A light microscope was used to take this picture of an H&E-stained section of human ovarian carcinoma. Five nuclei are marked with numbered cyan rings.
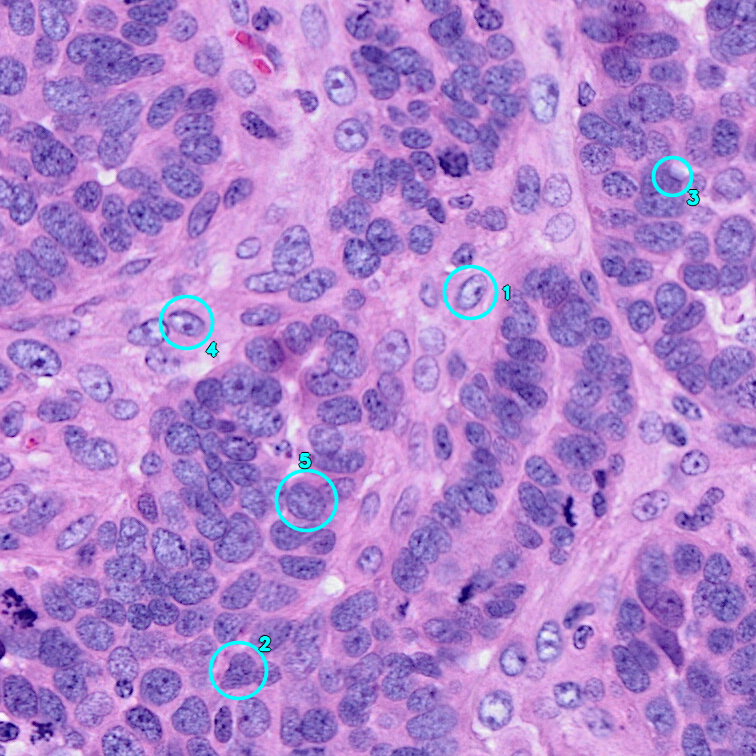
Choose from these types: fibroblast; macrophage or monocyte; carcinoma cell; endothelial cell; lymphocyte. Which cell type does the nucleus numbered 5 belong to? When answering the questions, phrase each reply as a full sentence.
In the tissue shown, cell 5 is a carcinoma cell.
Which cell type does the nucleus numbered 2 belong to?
The cell indicated with the number 2 is classed as a carcinoma cell.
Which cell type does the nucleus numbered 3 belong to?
At number 3, the marked cell is a carcinoma cell.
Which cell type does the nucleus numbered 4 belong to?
The one numbered 4 among the marked cells is a fibroblast.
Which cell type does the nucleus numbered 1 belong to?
Number 1 among the marked cells is a fibroblast.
